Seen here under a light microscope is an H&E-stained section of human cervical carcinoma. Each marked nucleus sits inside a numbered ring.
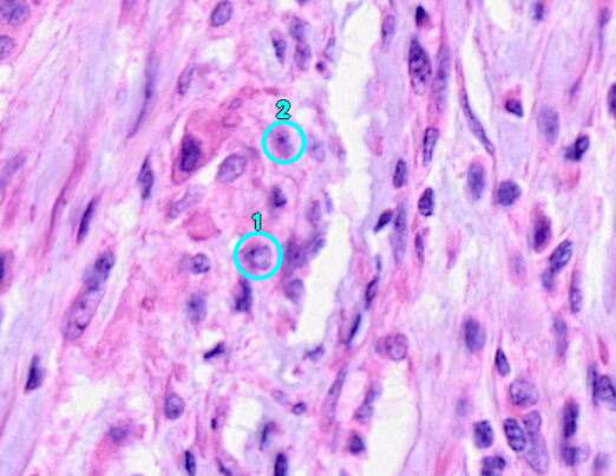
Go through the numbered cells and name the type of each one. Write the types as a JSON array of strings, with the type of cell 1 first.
["macrophage or monocyte", "fibroblast"]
